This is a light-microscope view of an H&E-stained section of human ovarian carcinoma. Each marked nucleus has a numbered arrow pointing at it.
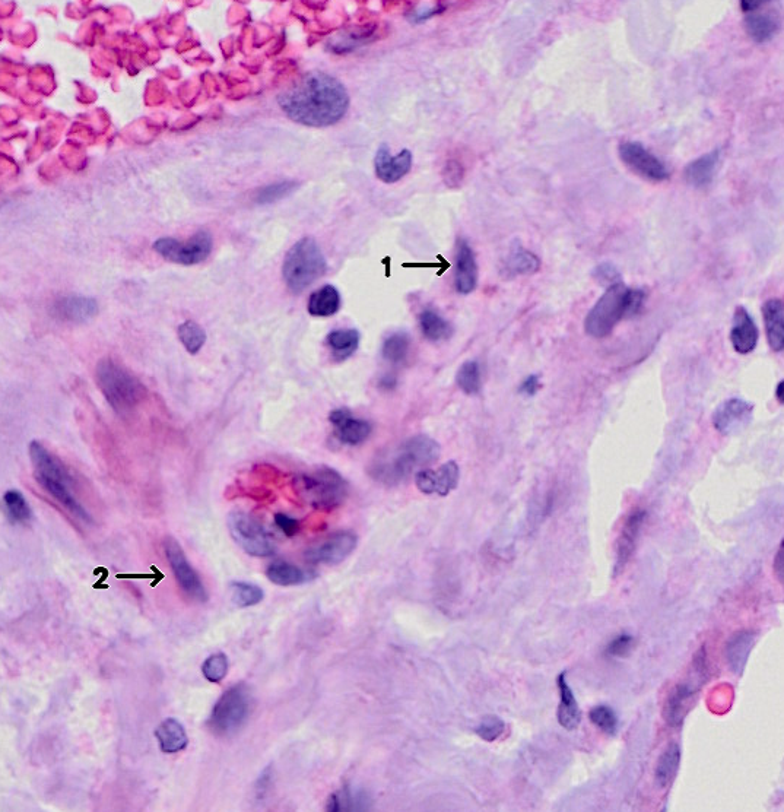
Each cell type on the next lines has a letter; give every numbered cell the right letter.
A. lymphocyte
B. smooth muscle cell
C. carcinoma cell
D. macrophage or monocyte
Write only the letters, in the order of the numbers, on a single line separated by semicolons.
D; B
